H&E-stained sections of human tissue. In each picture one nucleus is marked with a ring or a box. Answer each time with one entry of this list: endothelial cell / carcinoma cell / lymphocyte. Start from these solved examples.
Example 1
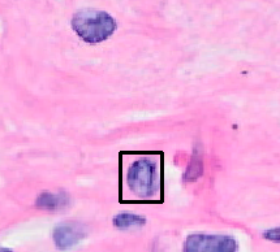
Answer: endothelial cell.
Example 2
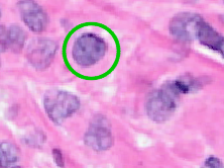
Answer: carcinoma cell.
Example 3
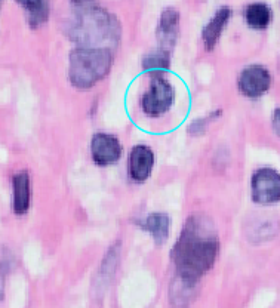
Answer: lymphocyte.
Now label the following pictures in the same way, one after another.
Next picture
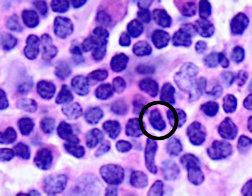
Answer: lymphocyte.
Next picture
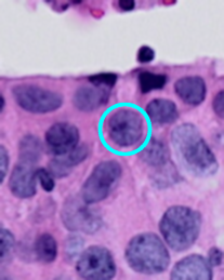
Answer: carcinoma cell.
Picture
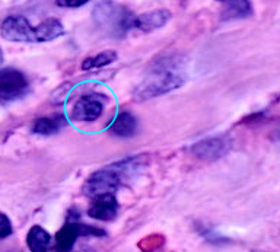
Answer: lymphocyte.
